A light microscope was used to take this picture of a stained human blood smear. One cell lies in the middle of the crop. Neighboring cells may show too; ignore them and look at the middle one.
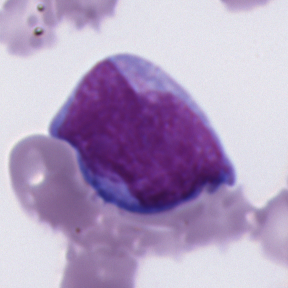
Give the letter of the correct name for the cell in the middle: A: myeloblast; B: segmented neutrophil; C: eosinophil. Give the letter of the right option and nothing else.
A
